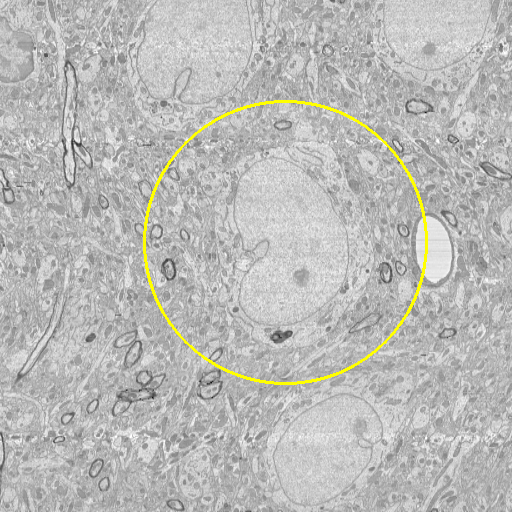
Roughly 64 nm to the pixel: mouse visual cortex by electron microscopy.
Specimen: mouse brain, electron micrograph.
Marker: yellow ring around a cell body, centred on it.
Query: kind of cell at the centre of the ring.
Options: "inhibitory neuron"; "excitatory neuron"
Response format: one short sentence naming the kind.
This cell body belongs to an excitatory neuron.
